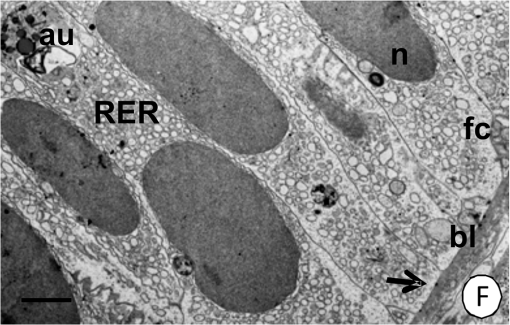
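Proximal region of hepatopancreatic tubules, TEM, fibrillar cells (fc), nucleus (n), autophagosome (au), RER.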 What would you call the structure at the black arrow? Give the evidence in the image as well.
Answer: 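Basal membrane with small folds. The arrow points to the basal edge of the epithelium.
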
